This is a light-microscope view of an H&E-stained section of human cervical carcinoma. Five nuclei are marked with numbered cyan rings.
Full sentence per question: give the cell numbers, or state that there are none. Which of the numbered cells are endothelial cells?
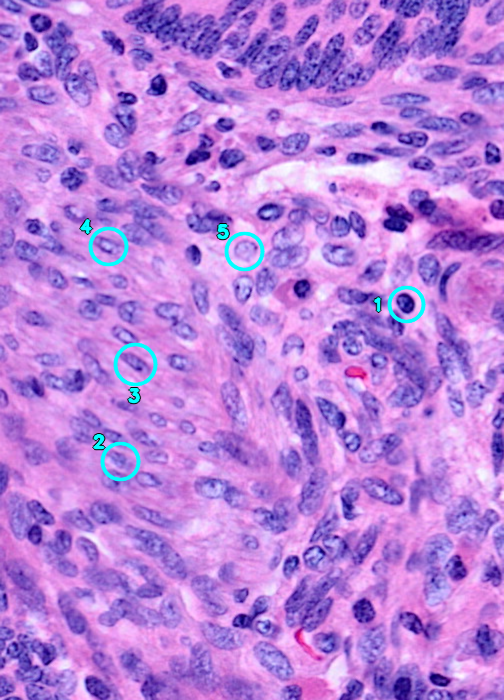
Only the cell numbered 5 is an endothelial cell; none of the others is.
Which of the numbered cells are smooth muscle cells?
The cells labelled 2, 3 and 4 in this section are smooth muscle cells.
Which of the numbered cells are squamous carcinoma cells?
Not one of the numbered cells belongs among the squamous carcinoma cells.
